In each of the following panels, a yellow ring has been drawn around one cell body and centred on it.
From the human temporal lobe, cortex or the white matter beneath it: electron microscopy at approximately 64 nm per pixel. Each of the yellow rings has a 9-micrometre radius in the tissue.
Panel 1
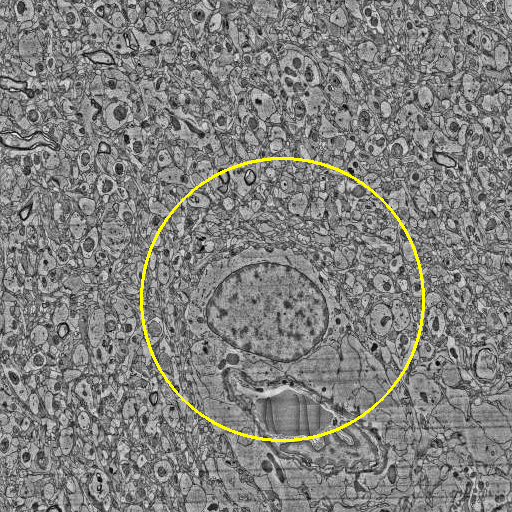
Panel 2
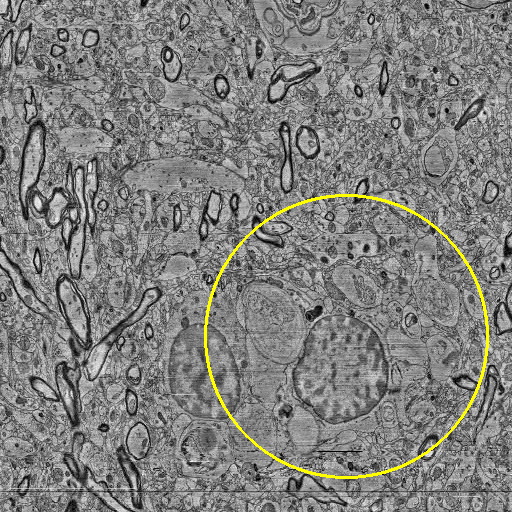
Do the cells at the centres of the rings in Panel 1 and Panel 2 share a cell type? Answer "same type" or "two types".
same type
